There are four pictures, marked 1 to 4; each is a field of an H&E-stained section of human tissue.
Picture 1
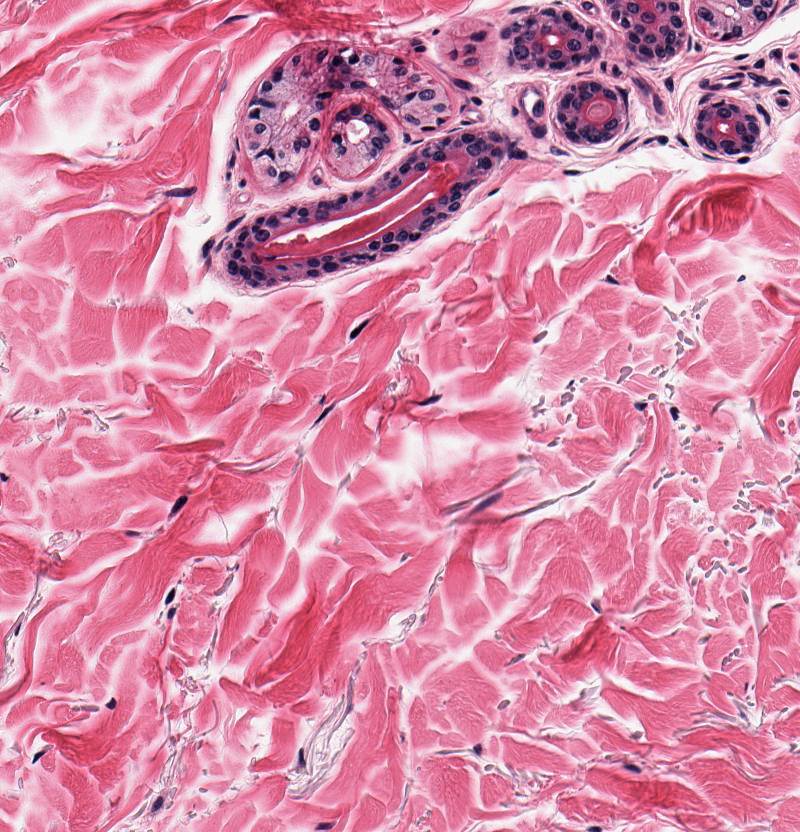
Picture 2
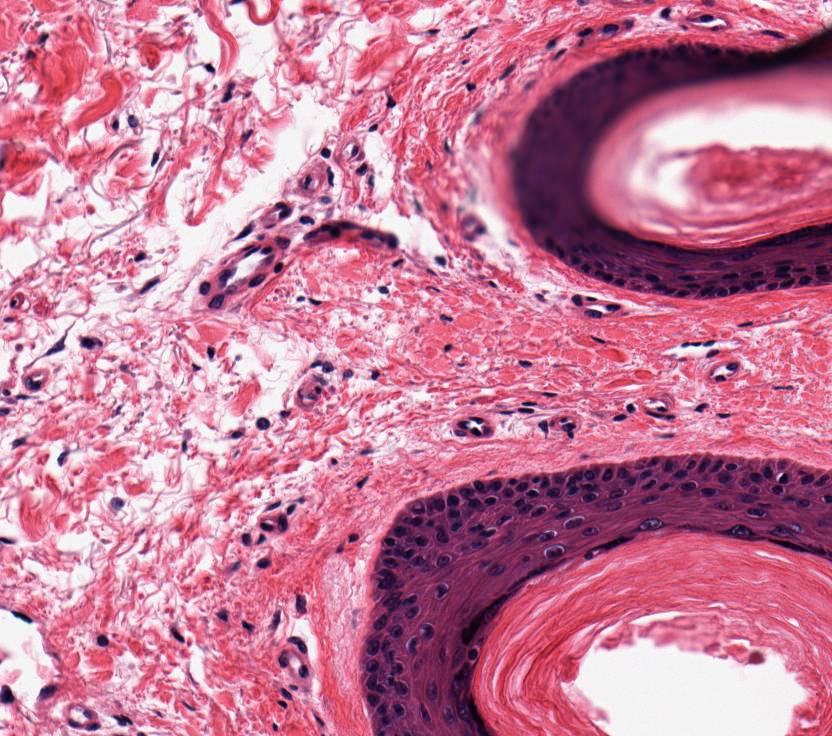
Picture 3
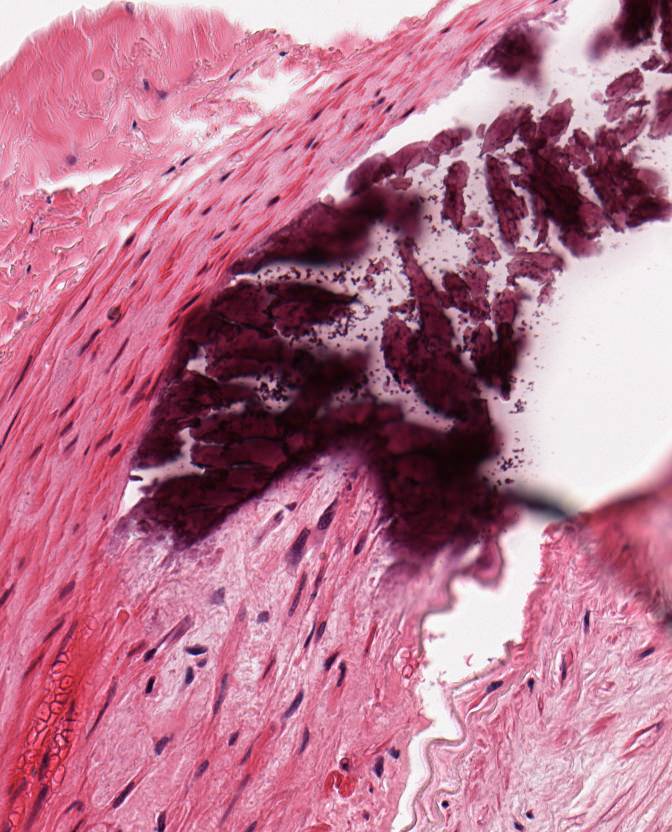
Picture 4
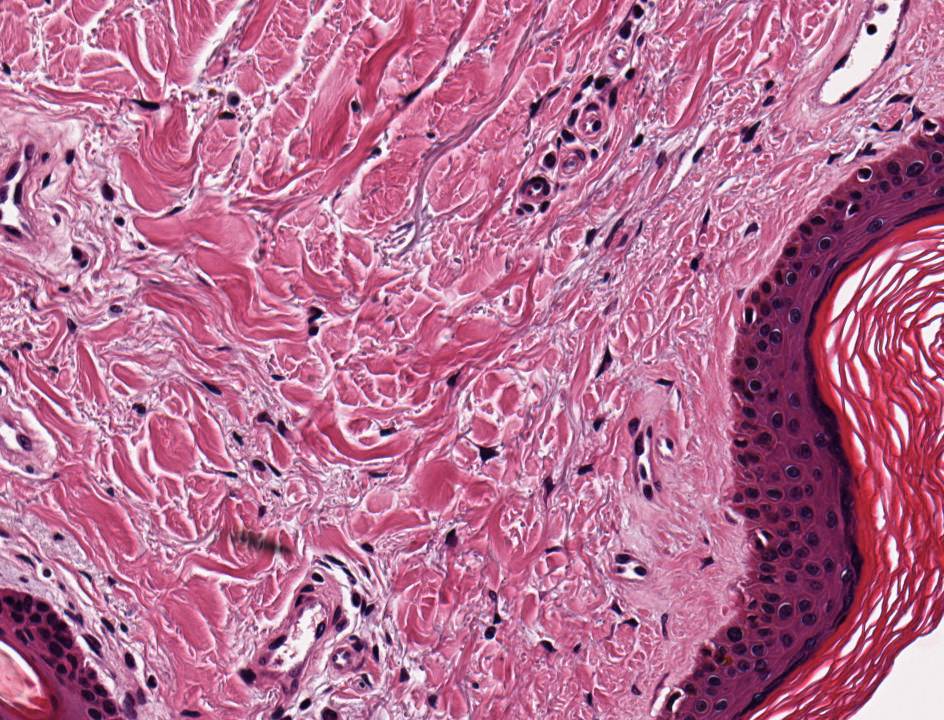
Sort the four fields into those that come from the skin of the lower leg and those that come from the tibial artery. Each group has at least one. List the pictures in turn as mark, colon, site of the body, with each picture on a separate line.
1: skin of the lower leg
2: skin of the lower leg
3: tibial artery
4: skin of the lower leg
